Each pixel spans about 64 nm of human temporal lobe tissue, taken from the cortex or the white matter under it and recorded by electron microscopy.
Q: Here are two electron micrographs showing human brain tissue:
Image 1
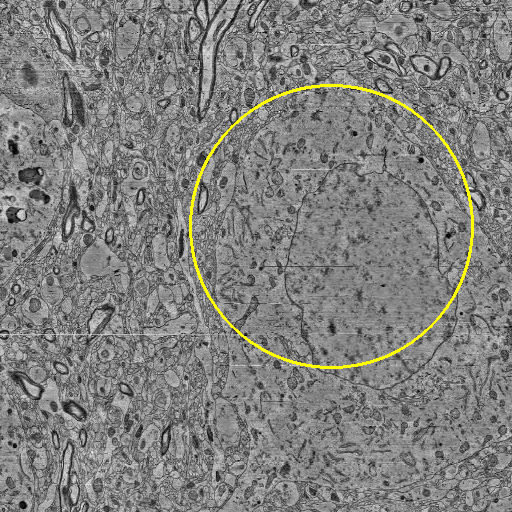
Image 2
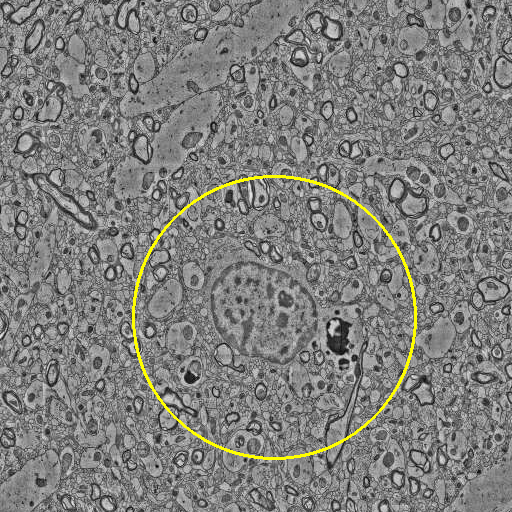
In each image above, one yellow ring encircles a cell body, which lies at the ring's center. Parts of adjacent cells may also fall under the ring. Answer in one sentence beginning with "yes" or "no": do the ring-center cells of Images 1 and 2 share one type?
No, in Images 1 and 2, the ring-center cells are of two types.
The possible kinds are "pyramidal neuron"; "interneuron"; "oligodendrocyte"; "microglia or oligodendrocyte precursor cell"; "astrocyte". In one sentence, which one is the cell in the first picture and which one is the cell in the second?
The cell ringed in the second picture is an oligodendrocyte, whereas the one ringed in the first is a pyramidal neuron.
